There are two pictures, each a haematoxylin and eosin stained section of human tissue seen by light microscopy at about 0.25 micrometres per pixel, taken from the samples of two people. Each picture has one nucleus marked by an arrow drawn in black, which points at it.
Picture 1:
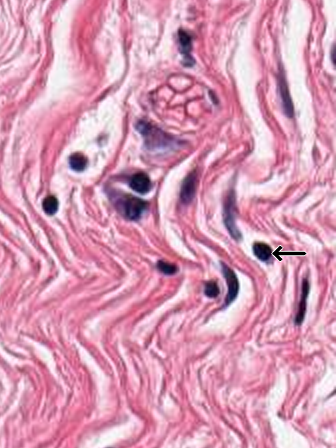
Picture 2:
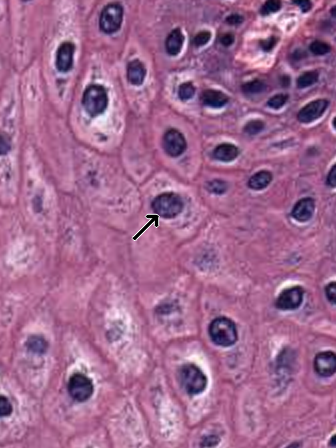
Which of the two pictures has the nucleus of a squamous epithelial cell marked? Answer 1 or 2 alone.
2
